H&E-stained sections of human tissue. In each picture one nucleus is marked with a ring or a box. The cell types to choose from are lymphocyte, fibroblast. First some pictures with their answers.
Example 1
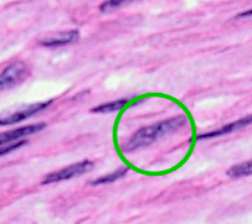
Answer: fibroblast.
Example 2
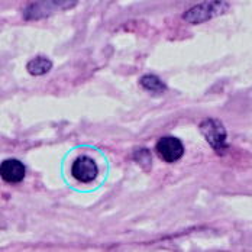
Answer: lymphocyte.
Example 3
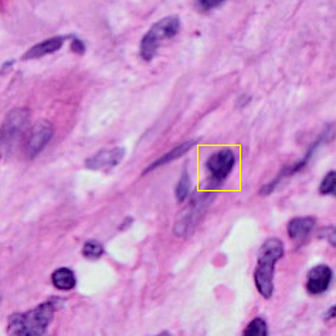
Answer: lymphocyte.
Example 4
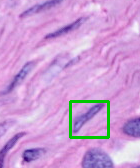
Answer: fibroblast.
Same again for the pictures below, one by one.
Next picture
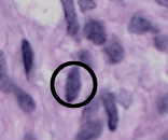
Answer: fibroblast.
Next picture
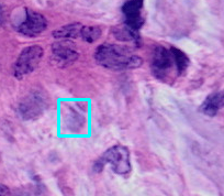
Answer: fibroblast.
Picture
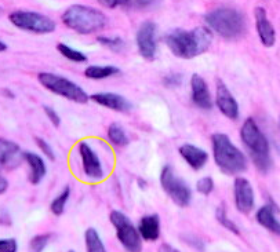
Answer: fibroblast.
